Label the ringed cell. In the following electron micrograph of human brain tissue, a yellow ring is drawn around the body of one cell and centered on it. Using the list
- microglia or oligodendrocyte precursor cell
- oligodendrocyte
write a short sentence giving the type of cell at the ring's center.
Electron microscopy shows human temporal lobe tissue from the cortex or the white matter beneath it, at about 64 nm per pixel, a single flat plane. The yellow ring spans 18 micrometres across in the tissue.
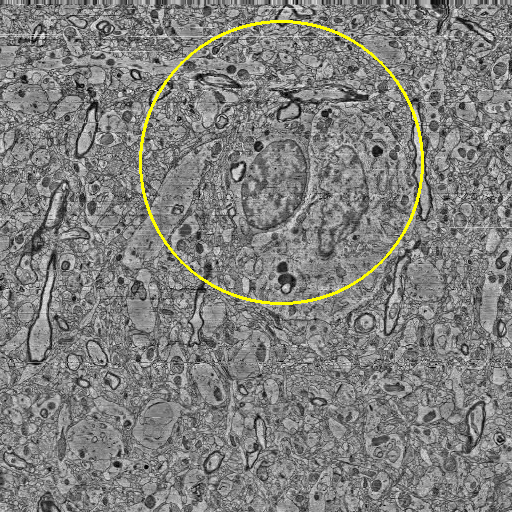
The cell body at the ring's center is that of an oligodendrocyte.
